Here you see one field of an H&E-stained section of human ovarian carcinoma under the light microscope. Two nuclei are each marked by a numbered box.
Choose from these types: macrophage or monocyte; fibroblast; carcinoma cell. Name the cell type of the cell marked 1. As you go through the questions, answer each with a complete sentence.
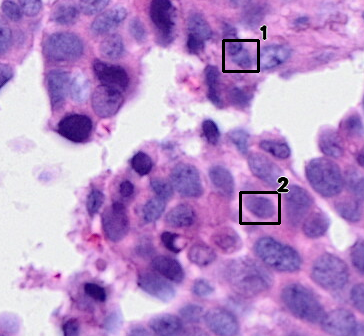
Heads up, the cell numbered 1 is a macrophage or monocyte.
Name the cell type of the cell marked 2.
The nucleus with number 2 is that of a carcinoma cell.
